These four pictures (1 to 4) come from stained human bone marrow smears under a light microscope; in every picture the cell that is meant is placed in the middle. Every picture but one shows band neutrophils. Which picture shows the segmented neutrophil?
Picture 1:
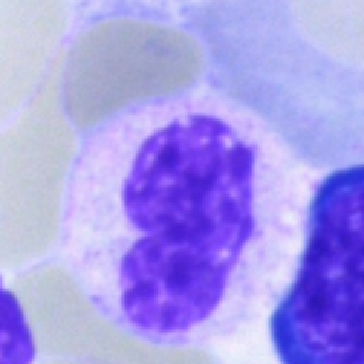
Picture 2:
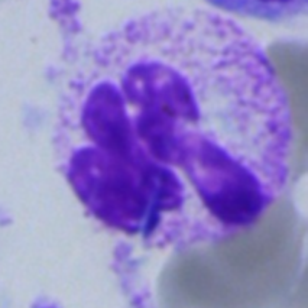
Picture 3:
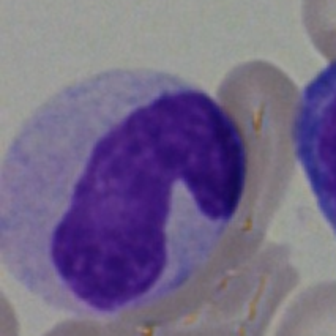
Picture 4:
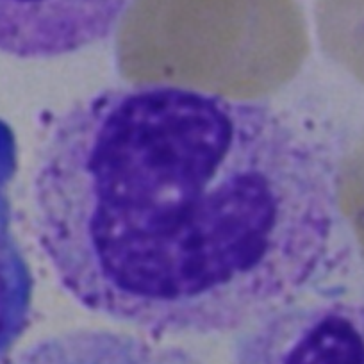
2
